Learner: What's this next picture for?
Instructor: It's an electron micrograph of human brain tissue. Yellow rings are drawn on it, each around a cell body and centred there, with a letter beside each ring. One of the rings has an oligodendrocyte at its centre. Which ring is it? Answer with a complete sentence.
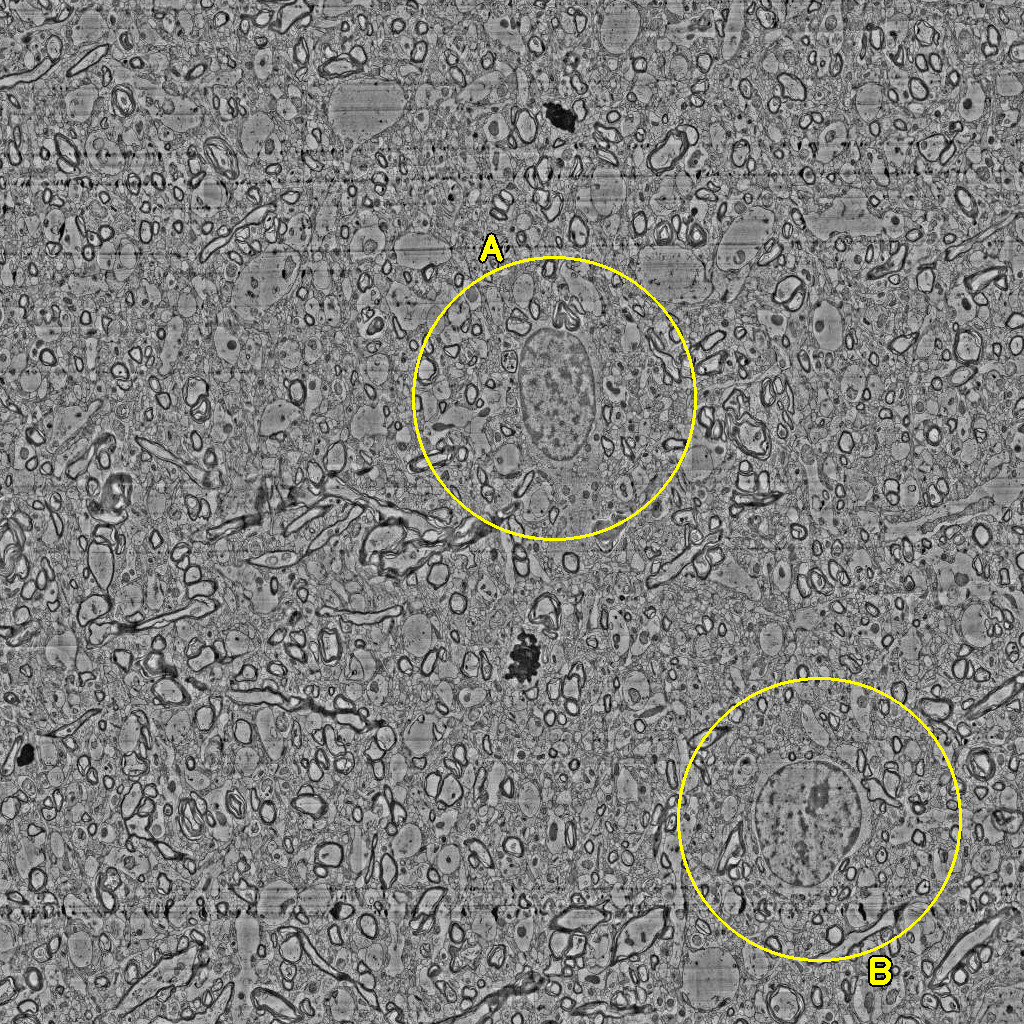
Ring A is centred on it.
